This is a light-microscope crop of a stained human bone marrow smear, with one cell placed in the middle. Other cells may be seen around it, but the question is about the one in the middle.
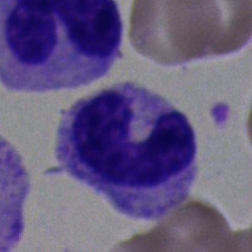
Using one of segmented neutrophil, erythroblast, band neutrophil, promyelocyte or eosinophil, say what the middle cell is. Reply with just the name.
band neutrophil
